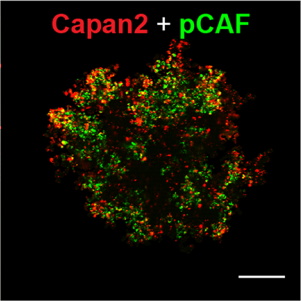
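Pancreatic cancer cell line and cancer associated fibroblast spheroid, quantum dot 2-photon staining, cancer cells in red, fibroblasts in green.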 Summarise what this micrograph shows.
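Where red and green lie together, the colours merge to yellow in many places. The edge is ragged, with loose clusters of cells standing out from the main mass.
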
